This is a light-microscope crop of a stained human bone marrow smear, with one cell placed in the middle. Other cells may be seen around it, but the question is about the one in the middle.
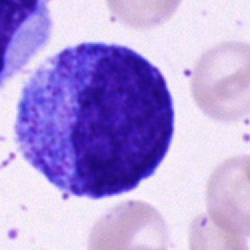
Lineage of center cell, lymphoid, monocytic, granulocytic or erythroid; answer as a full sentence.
Lineage assignment for the central cell is granulocytic.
